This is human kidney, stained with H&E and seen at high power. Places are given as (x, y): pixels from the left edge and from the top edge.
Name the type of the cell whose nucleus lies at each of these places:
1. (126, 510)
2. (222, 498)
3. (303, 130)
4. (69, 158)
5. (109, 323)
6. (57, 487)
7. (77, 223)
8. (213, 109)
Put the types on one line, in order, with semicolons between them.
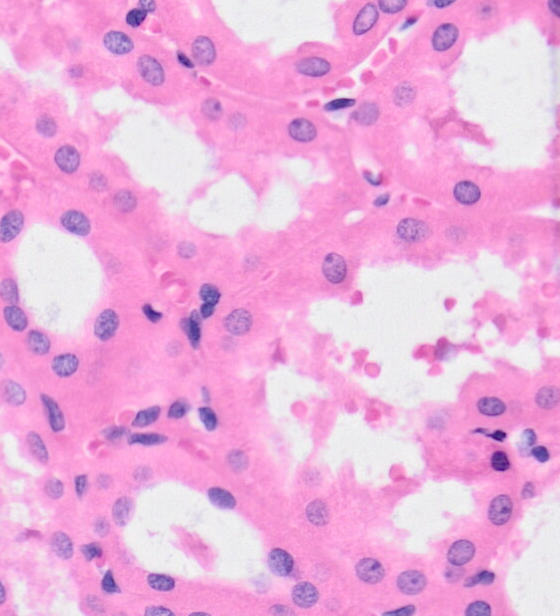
loop of Henle or distal tubule cell; loop of Henle or distal tubule cell; proximal tubule cell; proximal tubule cell; loop of Henle or distal tubule cell; loop of Henle or distal tubule cell; loop of Henle or distal tubule cell; proximal tubule cell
